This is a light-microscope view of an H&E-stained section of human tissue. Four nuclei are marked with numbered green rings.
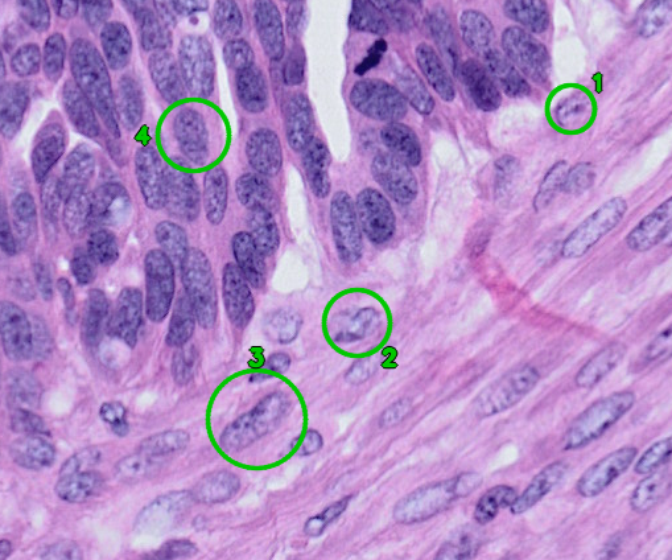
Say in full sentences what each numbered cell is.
Cells 1, 2 and 3 are fibroblasts. Cell 4 is a carcinoma cell.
